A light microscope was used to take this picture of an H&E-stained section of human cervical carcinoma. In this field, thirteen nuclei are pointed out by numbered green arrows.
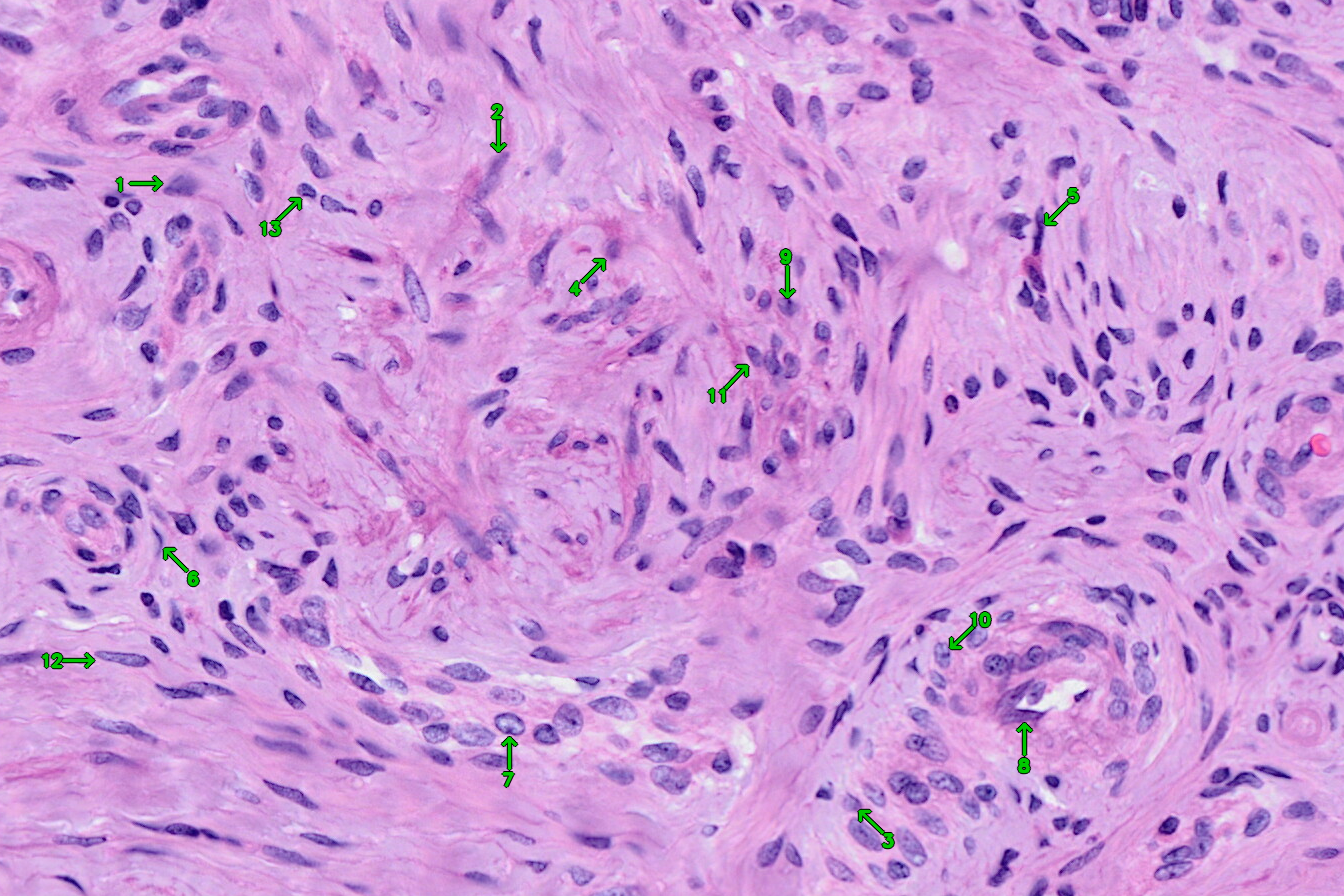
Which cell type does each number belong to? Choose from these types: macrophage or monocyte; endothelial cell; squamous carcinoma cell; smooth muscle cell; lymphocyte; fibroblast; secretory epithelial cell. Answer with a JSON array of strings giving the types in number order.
["fibroblast", "smooth muscle cell", "smooth muscle cell", "smooth muscle cell", "fibroblast", "fibroblast", "endothelial cell", "endothelial cell", "smooth muscle cell", "smooth muscle cell", "smooth muscle cell", "fibroblast", "fibroblast"]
